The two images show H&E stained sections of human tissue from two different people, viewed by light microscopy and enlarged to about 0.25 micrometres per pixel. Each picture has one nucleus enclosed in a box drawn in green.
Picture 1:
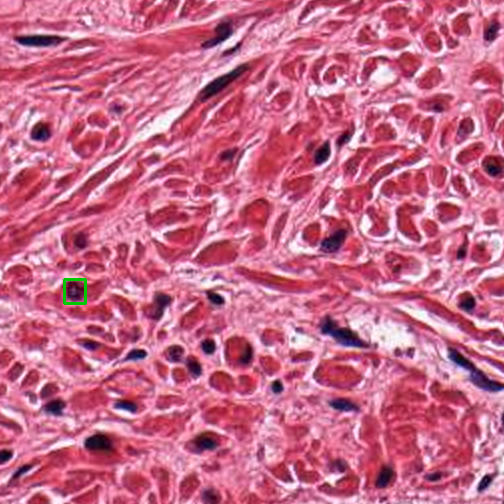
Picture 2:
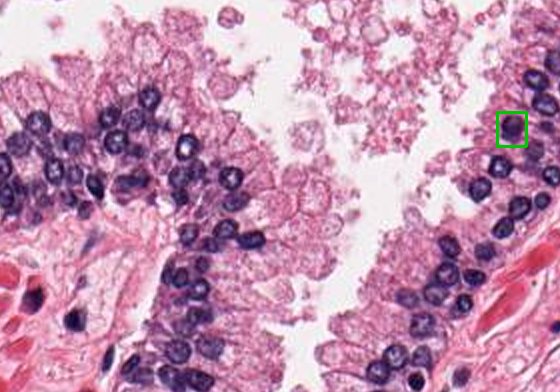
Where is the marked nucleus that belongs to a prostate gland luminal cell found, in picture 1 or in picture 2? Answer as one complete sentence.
Picture 2 is where the marked nucleus belongs to a prostate gland luminal cell.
